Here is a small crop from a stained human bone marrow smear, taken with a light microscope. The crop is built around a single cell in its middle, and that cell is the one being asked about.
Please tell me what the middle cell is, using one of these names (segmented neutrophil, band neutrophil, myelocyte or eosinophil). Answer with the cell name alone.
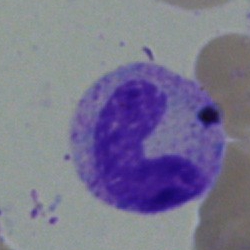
band neutrophil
